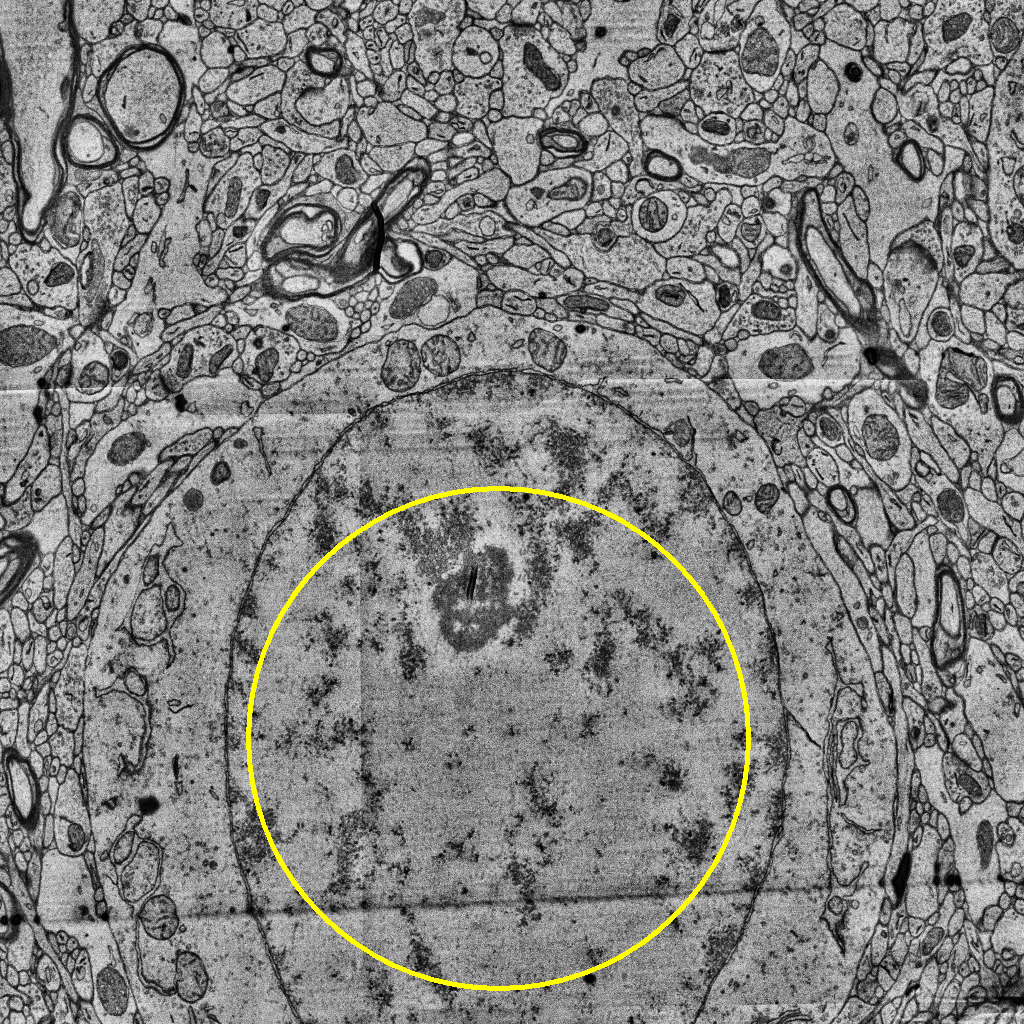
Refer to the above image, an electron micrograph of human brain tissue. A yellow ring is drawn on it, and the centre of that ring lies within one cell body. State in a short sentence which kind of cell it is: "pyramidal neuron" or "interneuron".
The centre of the ring falls on a pyramidal neuron.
